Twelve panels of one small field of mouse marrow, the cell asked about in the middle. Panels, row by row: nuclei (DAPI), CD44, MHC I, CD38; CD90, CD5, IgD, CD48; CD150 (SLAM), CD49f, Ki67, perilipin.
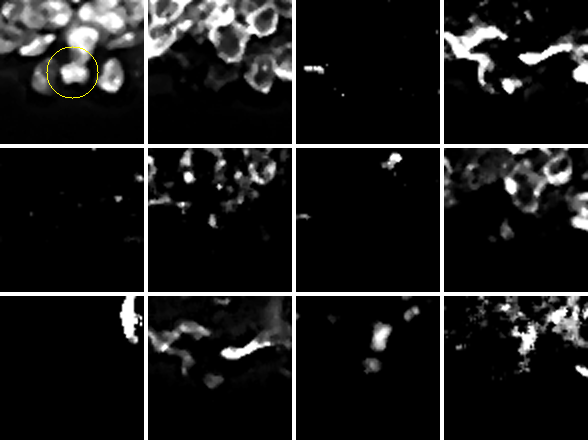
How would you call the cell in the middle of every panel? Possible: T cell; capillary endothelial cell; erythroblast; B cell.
I would call it a capillary endothelial cell.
